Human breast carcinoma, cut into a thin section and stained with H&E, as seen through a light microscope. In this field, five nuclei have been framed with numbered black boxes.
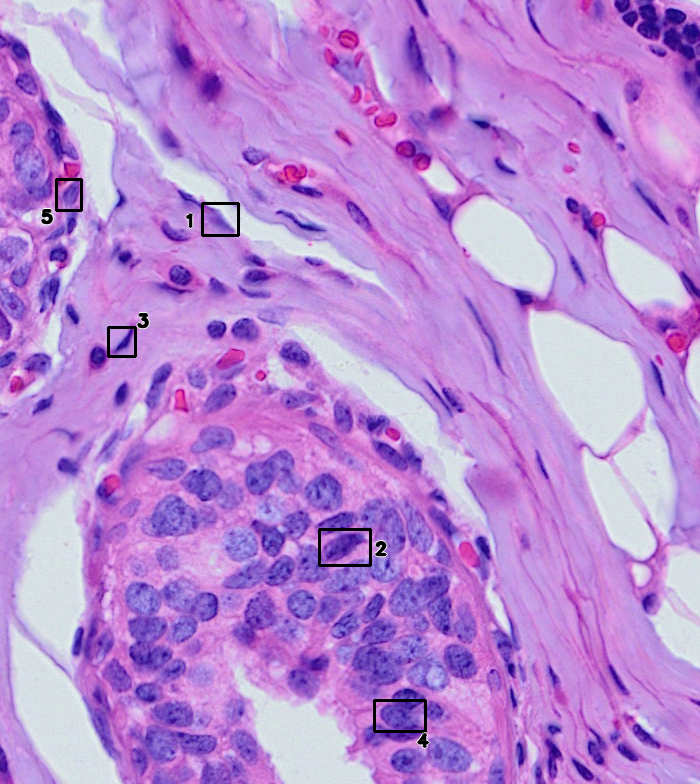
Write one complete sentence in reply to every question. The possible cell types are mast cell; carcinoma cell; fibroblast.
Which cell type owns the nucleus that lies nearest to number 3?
The nucleus nearest to number 3 is that of a mast cell.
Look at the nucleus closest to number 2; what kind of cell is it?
The cell nearest to number 2 is a carcinoma cell.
